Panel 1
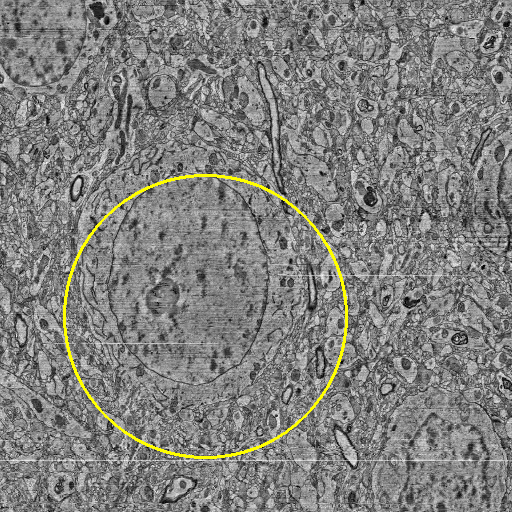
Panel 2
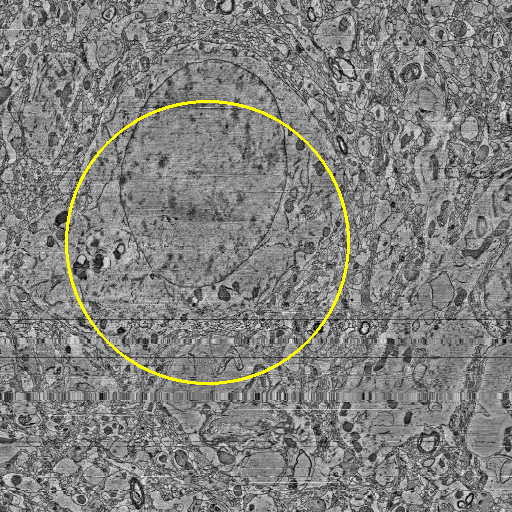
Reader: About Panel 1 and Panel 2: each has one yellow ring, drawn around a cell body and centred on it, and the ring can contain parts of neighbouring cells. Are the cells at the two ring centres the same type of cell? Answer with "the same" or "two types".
the same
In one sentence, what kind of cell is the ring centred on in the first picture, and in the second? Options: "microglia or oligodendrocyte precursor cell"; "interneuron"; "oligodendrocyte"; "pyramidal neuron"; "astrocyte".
Each of the two rings surrounds a pyramidal neuron.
